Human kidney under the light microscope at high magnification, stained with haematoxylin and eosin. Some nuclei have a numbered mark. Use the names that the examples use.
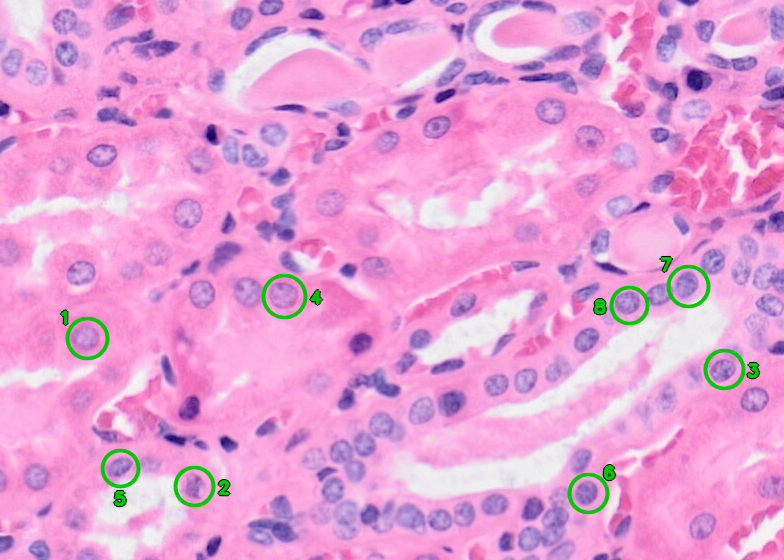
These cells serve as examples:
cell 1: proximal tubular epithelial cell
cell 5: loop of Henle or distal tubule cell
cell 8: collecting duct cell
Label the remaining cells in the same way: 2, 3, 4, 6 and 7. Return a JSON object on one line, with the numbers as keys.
{"2": "loop of Henle or distal tubule cell", "3": "collecting duct cell", "4": "proximal tubular epithelial cell", "6": "collecting duct cell", "7": "collecting duct cell"}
